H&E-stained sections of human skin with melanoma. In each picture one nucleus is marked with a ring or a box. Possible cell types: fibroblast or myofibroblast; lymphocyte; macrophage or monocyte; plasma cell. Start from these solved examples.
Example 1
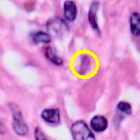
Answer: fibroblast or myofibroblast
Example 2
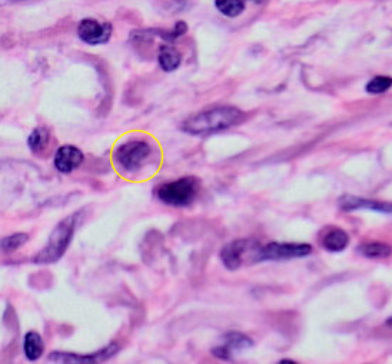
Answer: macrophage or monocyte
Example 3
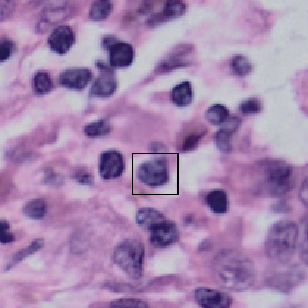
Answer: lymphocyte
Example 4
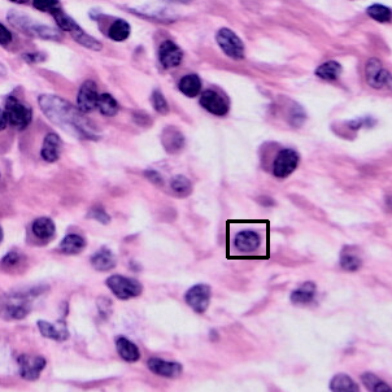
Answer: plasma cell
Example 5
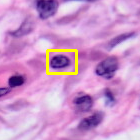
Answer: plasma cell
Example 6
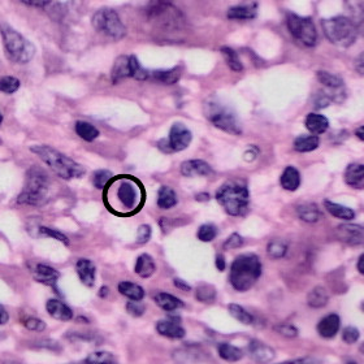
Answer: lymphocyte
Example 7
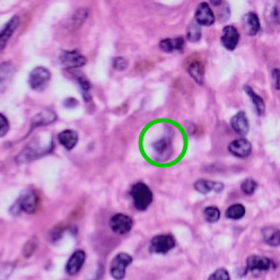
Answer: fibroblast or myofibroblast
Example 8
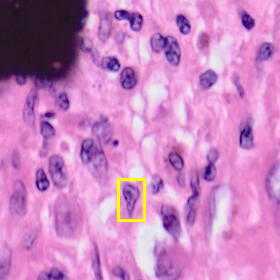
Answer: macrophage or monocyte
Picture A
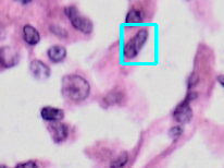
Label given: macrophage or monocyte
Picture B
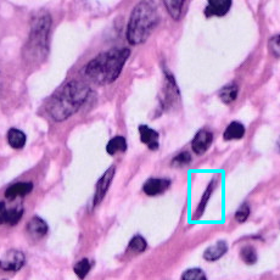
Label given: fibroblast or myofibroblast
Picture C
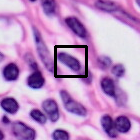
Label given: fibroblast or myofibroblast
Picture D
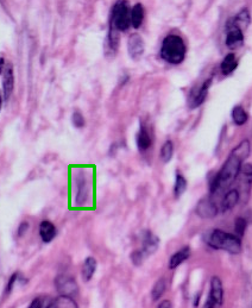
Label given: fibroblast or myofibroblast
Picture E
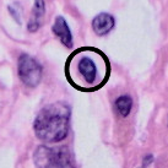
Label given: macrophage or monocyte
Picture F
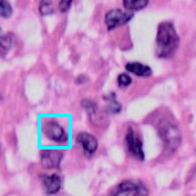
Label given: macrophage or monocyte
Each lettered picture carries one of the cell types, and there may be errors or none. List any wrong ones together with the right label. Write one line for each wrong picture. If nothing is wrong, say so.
C: lymphocyte, not fibroblast or myofibroblast
E: lymphocyte, not macrophage or monocyte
